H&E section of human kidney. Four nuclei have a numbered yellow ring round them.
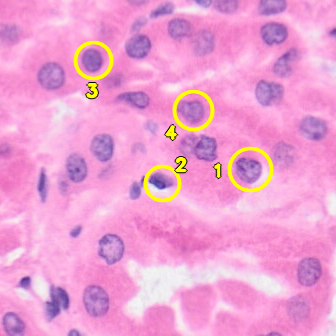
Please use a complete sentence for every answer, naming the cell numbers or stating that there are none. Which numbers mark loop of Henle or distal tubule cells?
Zero of the numbered cells are loop of Henle or distal tubule cells.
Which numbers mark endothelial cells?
The numbered cell that is an endothelial cell is cell 2, and it is the only one.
